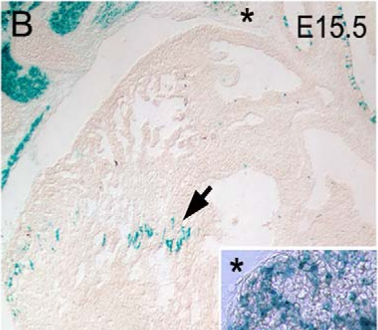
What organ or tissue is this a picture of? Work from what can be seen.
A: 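Heart. A large organ section with a thick muscular wall. Spongy trabeculated tissue lining a central chamber.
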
